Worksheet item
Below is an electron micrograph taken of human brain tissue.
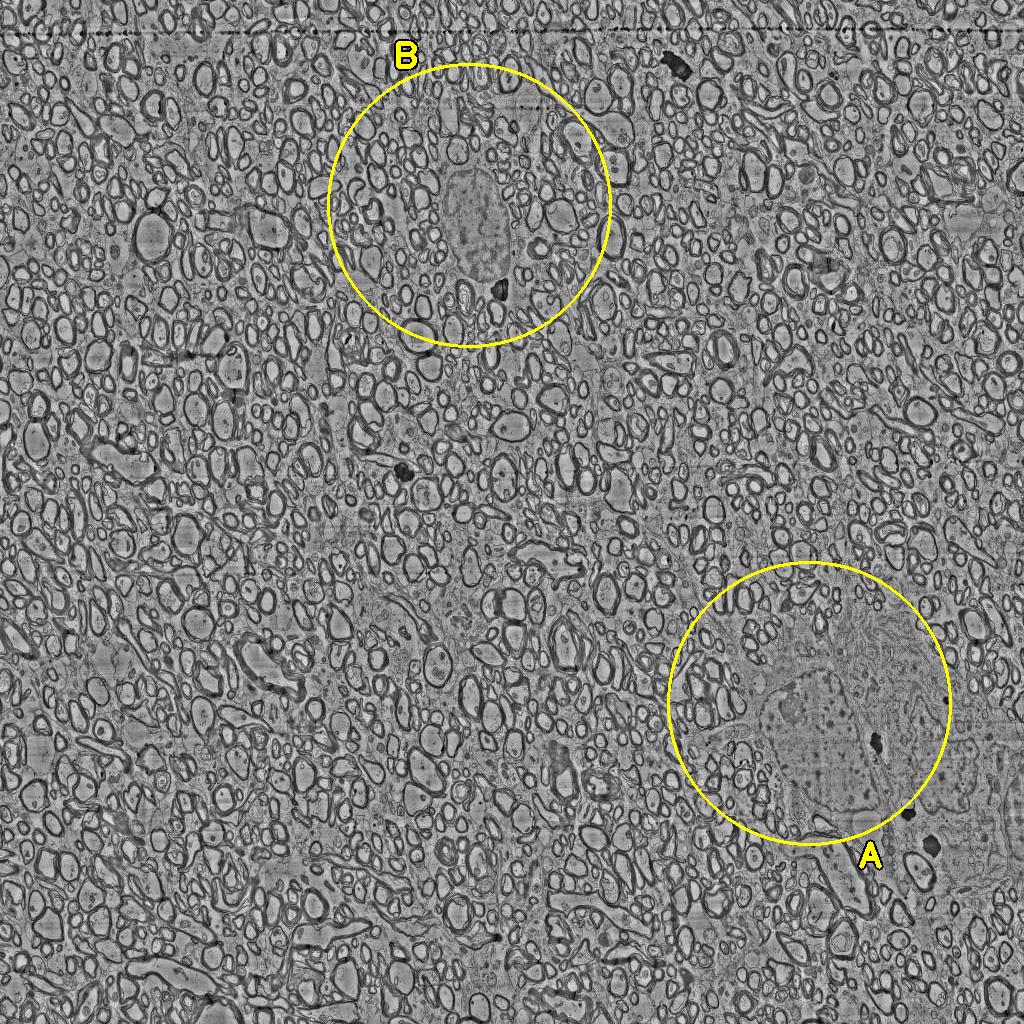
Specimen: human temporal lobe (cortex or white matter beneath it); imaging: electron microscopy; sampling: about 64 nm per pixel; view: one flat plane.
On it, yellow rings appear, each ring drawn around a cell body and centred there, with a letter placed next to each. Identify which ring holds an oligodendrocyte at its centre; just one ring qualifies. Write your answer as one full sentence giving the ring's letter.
Ring B has the cell asked for right at its centre in the picture.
